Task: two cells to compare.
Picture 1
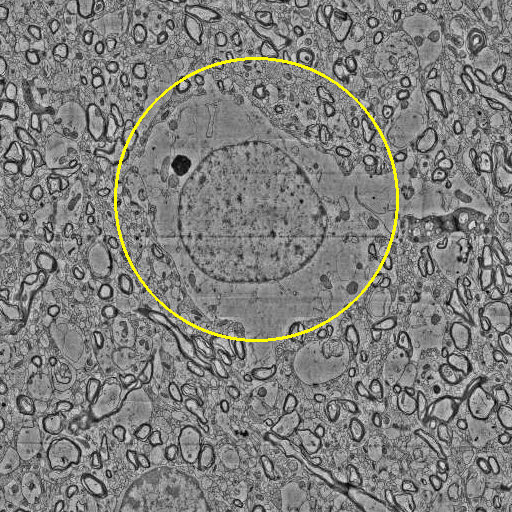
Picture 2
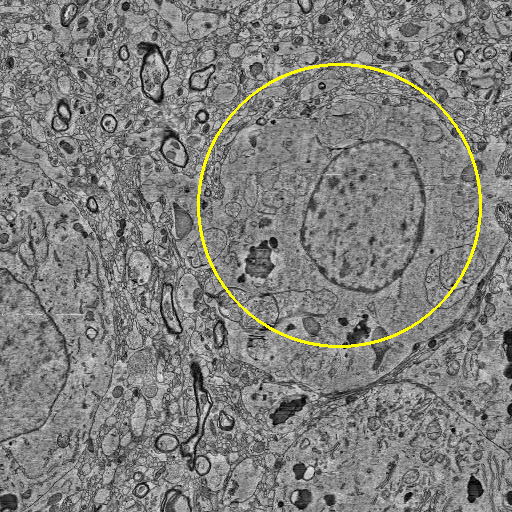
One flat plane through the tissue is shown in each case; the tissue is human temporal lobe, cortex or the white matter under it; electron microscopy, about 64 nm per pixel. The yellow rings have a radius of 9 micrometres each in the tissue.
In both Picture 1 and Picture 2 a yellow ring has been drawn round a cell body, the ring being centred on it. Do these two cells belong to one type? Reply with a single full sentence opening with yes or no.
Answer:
Yes, the two cells at the ring centres in Picture 1 and Picture 2 share one type.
